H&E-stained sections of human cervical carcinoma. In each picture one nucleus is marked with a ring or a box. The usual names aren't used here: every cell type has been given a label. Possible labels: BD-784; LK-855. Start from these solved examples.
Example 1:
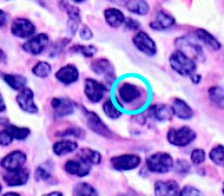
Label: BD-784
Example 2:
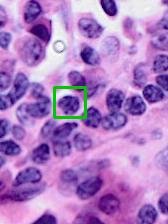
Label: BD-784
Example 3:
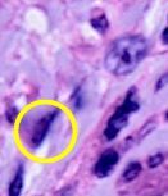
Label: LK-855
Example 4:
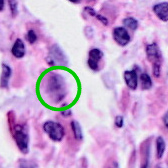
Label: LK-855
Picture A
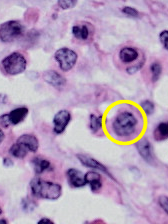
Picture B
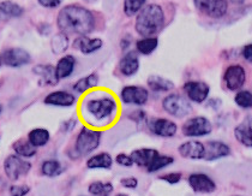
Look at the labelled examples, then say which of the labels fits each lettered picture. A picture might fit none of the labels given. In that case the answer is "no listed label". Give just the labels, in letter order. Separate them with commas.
LK-855, BD-784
